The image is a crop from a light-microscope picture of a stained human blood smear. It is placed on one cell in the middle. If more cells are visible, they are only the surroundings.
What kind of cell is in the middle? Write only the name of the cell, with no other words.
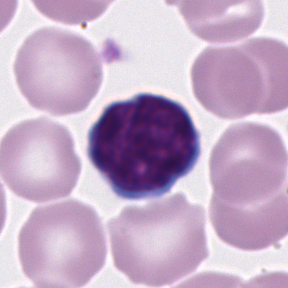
typical lymphocyte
